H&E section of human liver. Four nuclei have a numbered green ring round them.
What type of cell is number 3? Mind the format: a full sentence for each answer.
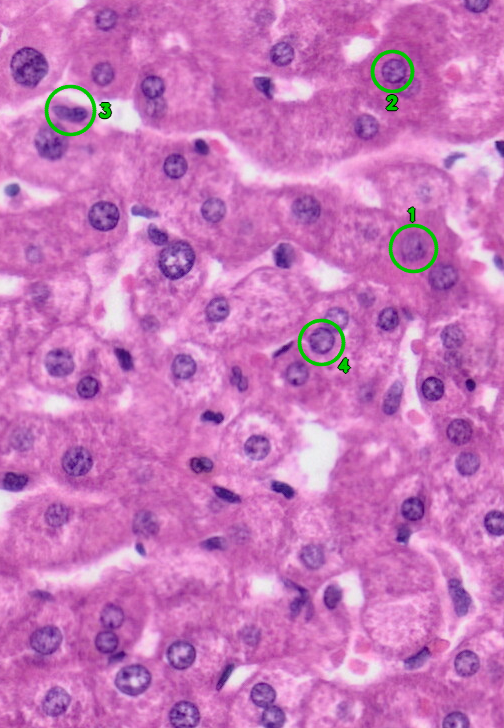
The expected answer is that cell 3 is a Kupffer cell.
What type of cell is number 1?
The numbered cell 1 in this field is a hepatocyte.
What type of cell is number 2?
The cell numbered 2 represents a hepatocyte.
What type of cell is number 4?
The correct label for cell 4 is a hepatocyte.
